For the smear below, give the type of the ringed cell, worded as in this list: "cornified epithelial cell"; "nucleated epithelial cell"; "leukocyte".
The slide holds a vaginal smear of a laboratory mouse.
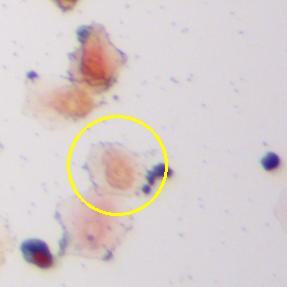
nucleated epithelial cell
